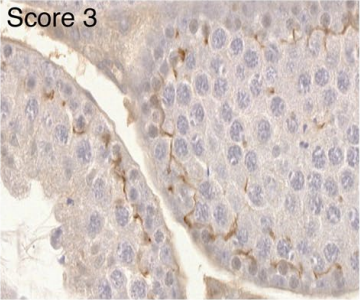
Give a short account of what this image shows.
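This section of testis shows parts of seminiferous tubules packed with rounded germ cells whose nuclei are stained blue-grey. Brown stain appears as a string of short lines and dots near the tubule periphery and reaching in between the basal cells. Adjacent tubules are separated by a thin band of interstitial tissue and clear space.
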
